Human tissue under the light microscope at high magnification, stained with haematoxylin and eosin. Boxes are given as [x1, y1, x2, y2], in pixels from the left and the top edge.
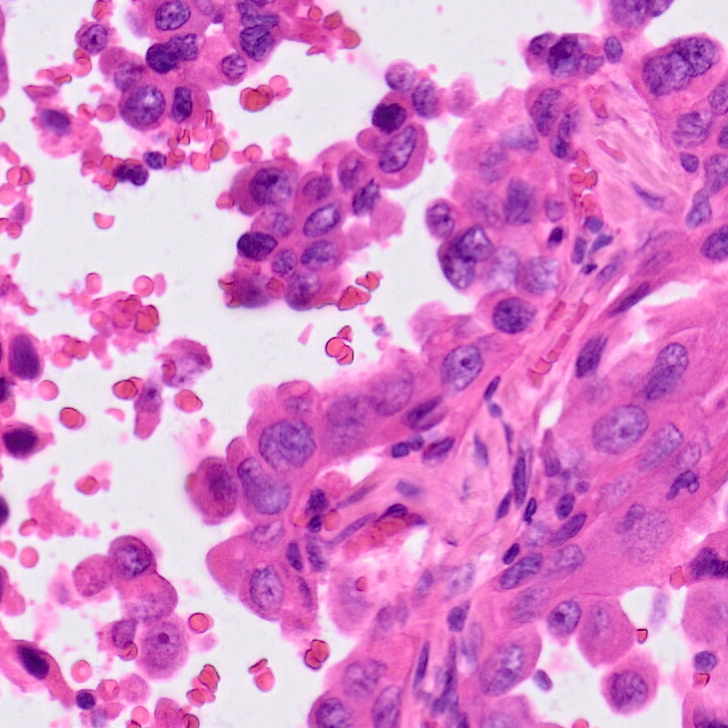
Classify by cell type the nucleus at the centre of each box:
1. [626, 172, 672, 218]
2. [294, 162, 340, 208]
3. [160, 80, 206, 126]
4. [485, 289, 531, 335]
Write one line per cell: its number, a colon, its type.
1: fibroblast
2: carcinoma cell
3: carcinoma cell
4: carcinoma cell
